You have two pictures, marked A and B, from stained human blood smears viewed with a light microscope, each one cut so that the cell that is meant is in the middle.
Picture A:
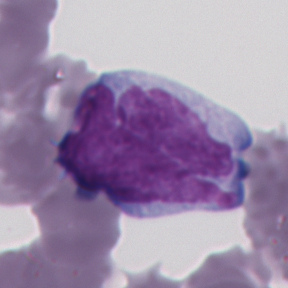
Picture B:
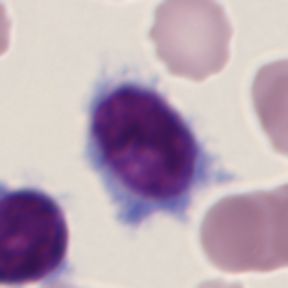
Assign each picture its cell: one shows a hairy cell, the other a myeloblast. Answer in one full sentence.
Picture B shows a hairy cell, while picture A shows a myeloblast.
